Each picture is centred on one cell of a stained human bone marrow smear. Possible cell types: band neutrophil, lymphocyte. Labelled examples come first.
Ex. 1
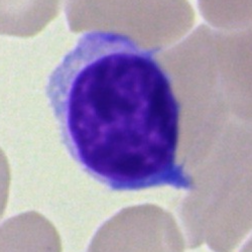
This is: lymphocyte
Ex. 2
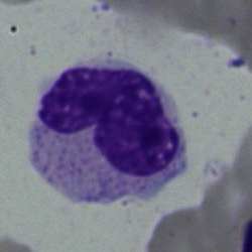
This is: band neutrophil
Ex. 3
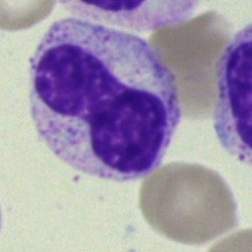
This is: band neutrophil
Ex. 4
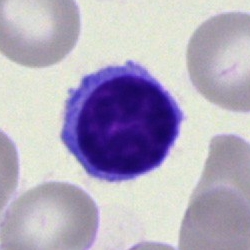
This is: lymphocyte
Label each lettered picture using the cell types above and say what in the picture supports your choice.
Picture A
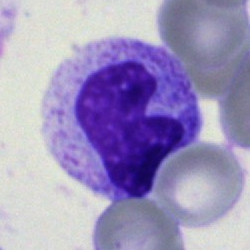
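band neutrophil. Evidence: The cytoplasm forms a broad rim that is widest on the left side of the nucleus.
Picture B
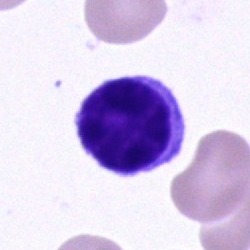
lymphocyte. Evidence: The nucleus fills most of the cell.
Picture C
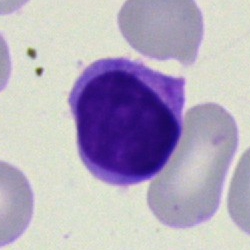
lymphocyte. Evidence: The nucleus fills most of the cell.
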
